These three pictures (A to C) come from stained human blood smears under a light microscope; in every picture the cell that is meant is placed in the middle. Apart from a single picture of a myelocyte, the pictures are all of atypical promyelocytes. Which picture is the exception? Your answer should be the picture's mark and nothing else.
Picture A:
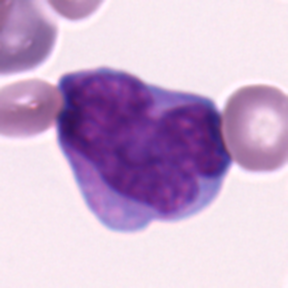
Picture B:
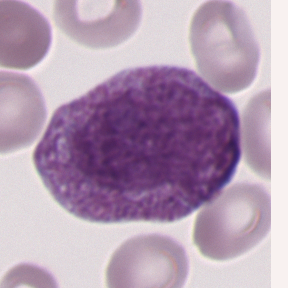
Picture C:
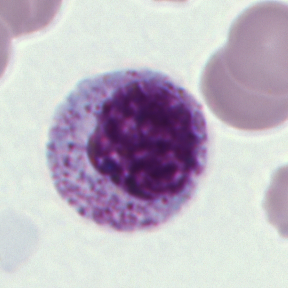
C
